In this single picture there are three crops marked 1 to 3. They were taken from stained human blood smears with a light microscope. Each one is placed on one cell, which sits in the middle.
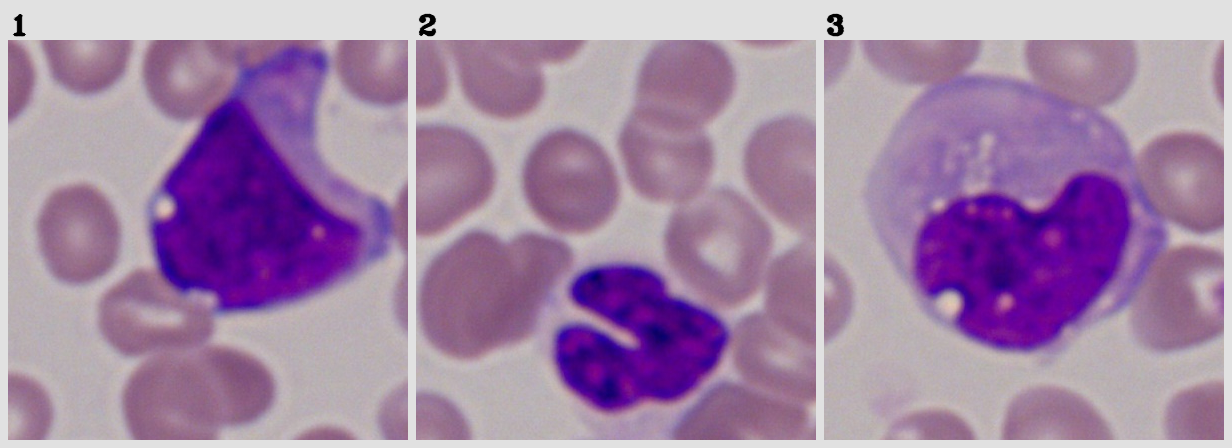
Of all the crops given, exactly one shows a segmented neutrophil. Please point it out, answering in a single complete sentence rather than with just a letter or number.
The crop with a segmented neutrophil at its center is crop 2.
